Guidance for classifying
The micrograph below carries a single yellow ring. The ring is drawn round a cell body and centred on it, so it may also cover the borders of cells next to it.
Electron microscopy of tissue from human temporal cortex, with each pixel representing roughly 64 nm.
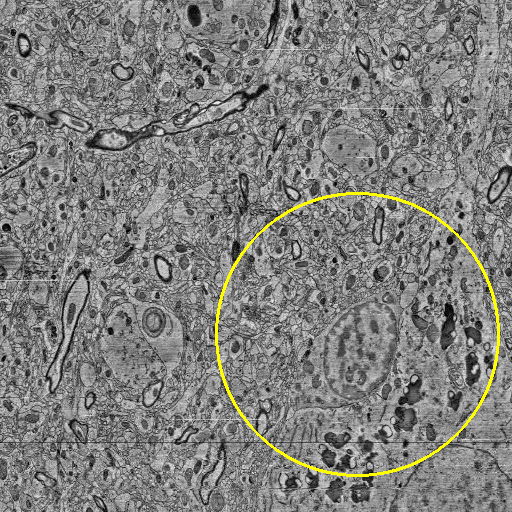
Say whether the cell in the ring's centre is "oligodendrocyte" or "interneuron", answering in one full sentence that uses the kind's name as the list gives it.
Within the yellow ring, an oligodendrocyte is the cell whose body sits at the centre.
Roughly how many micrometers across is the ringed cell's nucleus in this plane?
Approximately 7 by 4 micrometers, which makes the nucleus clearly longer than it is wide in this plane.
